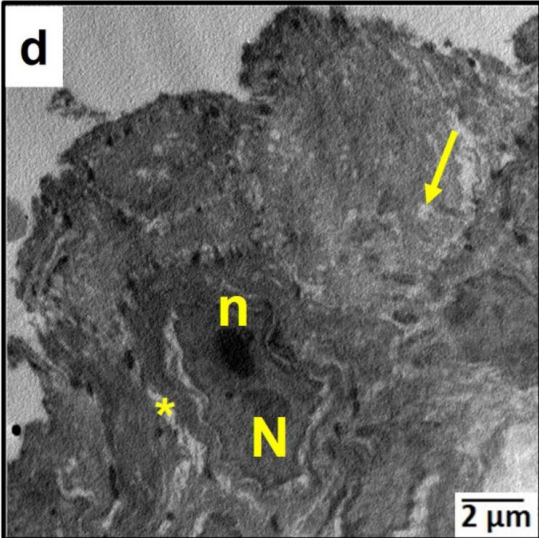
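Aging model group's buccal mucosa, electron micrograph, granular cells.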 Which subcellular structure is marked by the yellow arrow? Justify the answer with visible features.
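The arrow points to a pale clear area within dense cytoplasm. On this evidence: vacuoles.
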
